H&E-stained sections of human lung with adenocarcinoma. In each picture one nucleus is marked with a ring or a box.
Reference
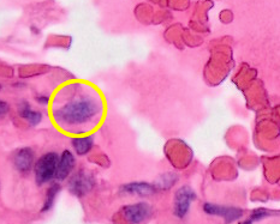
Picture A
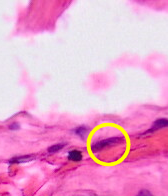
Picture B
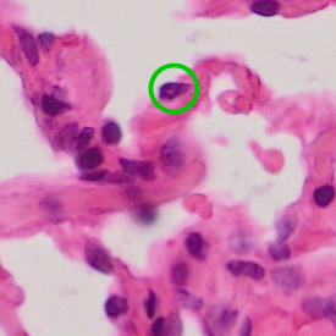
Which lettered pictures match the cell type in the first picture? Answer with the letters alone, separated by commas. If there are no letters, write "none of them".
B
